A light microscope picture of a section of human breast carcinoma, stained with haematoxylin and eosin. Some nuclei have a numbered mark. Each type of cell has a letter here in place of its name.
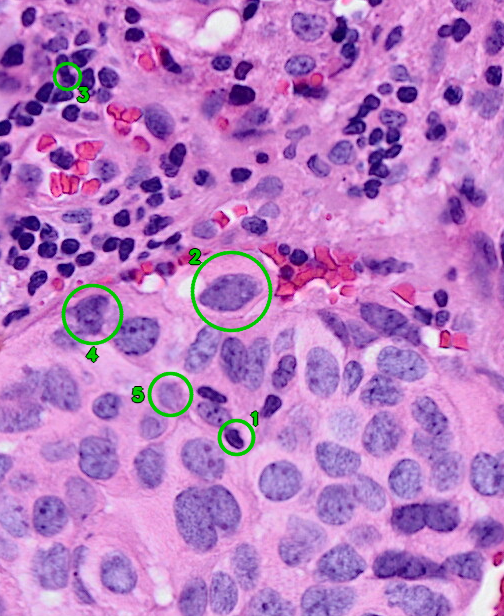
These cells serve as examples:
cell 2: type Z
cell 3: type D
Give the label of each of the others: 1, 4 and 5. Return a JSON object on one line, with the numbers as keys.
{"1": "type D", "4": "type Z", "5": "type Z"}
